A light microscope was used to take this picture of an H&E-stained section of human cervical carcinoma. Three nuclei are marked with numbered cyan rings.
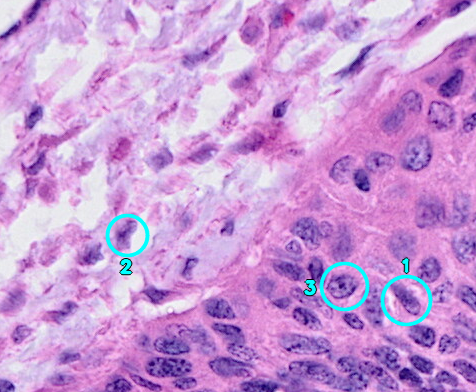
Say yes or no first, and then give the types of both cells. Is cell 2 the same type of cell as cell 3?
No, cell 2 is a fibroblast and cell 3 is a squamous carcinoma cell.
